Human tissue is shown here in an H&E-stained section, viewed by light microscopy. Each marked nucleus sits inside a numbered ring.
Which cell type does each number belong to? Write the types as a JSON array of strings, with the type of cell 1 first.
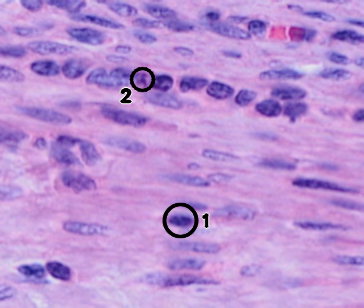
["lymphocyte", "endothelial cell"]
